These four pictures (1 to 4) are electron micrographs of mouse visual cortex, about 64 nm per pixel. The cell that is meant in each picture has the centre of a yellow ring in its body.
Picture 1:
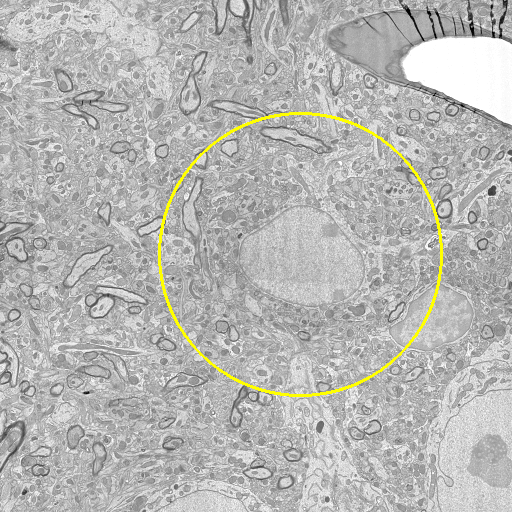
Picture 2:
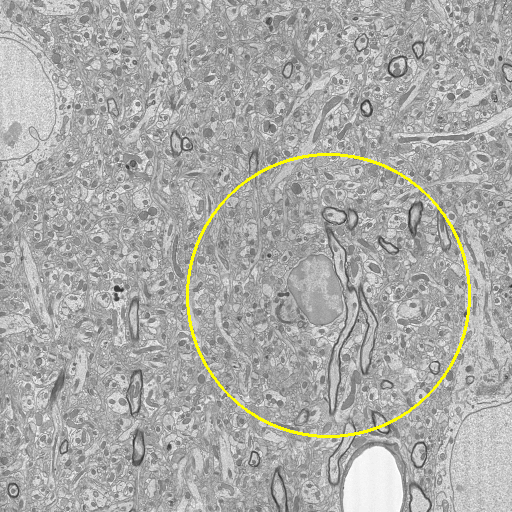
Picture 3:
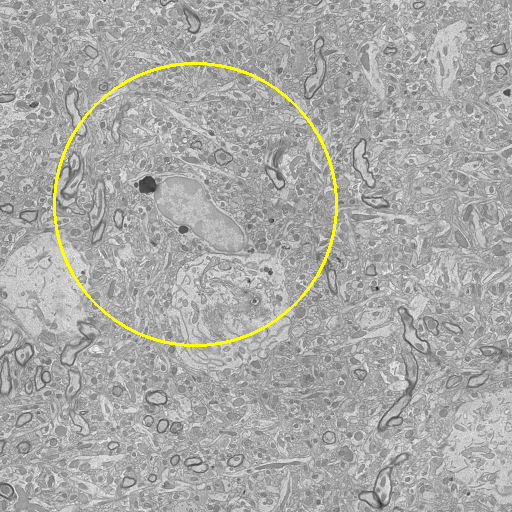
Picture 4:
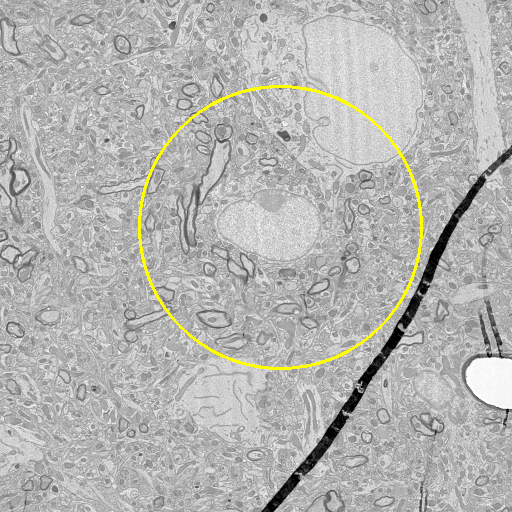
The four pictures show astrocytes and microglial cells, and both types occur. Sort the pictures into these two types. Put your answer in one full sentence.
Pictures 1 and 4 show astrocytes; pictures 2 and 3 show microglial cells.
